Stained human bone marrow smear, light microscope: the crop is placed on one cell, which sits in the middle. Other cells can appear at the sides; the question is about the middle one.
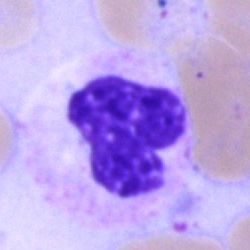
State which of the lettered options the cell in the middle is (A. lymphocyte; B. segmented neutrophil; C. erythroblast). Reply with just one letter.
B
